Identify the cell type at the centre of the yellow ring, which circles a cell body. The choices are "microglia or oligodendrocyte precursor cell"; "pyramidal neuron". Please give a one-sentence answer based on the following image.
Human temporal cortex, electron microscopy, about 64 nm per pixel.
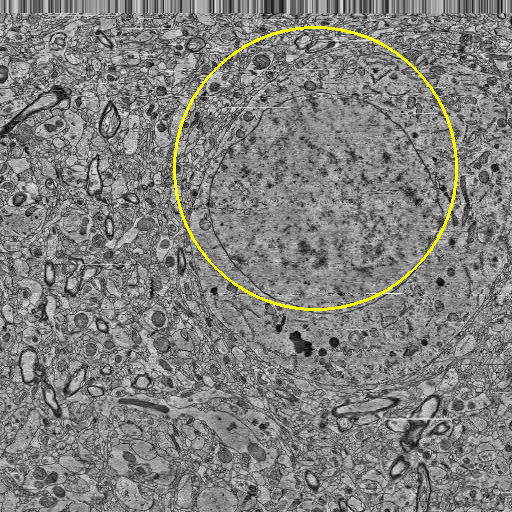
The cell marked by the ring is a pyramidal neuron.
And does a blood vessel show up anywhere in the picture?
No, none is visible.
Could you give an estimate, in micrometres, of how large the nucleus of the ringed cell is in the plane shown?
Roughly 15 micrometers across in this plane.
